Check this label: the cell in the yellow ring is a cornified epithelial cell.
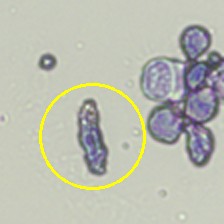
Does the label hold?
The label holds; the cell is a cornified epithelial cell.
